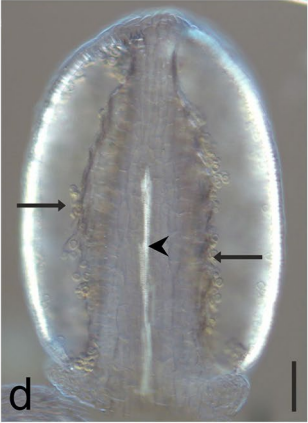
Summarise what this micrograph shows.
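This cleared anther shows two elongated pollen sacs on either side of a central vascular strand, seen as a thin bright line down the middle. Small rounded pollen grains line the inner face of each sac wall, while the rest of each chamber appears empty.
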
